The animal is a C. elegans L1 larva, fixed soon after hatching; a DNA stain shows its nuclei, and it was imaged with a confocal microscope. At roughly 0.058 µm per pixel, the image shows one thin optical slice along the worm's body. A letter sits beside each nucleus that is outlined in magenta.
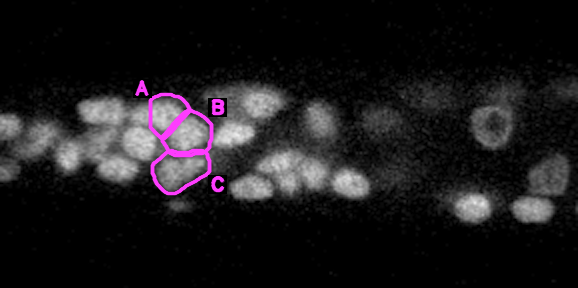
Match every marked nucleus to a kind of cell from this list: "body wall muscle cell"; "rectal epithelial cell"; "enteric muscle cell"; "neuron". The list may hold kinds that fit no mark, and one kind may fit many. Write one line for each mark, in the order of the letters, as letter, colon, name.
A: enteric muscle cell
B: neuron
C: rectal epithelial cell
